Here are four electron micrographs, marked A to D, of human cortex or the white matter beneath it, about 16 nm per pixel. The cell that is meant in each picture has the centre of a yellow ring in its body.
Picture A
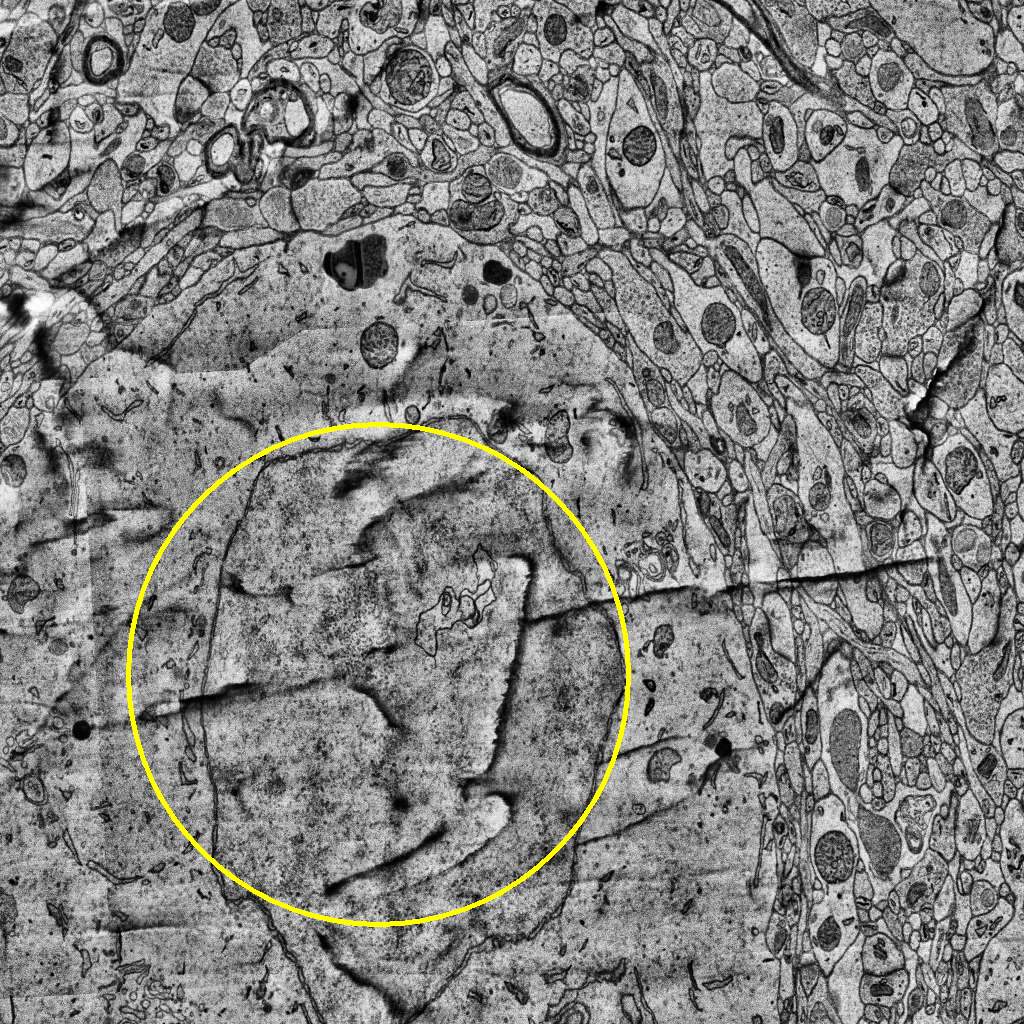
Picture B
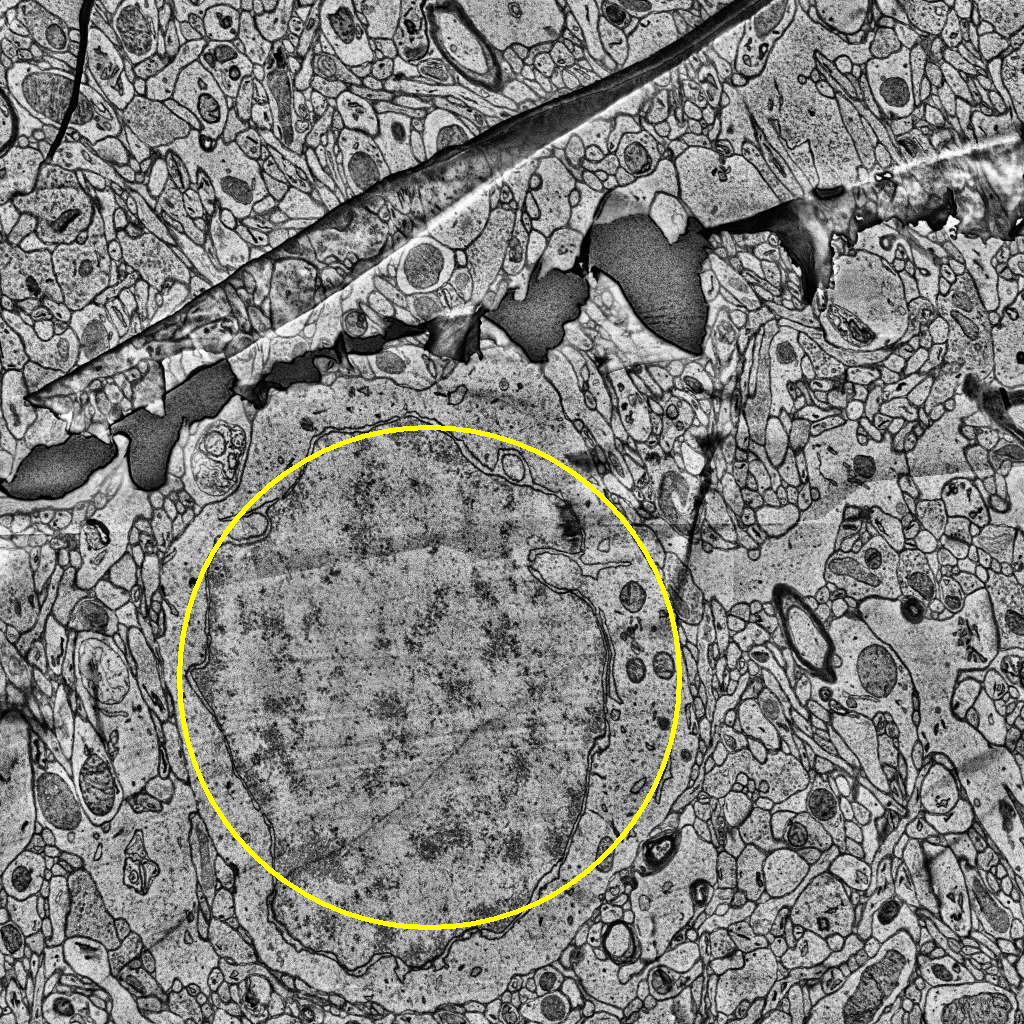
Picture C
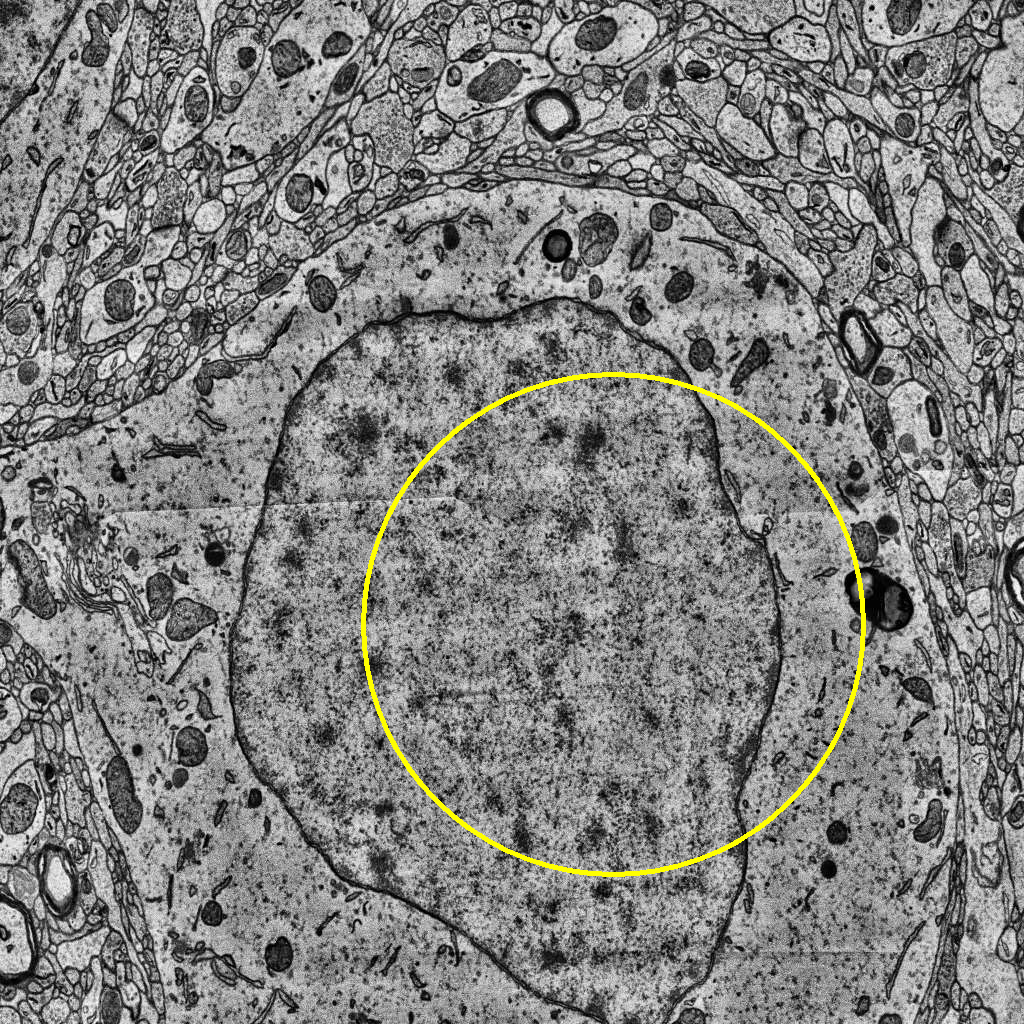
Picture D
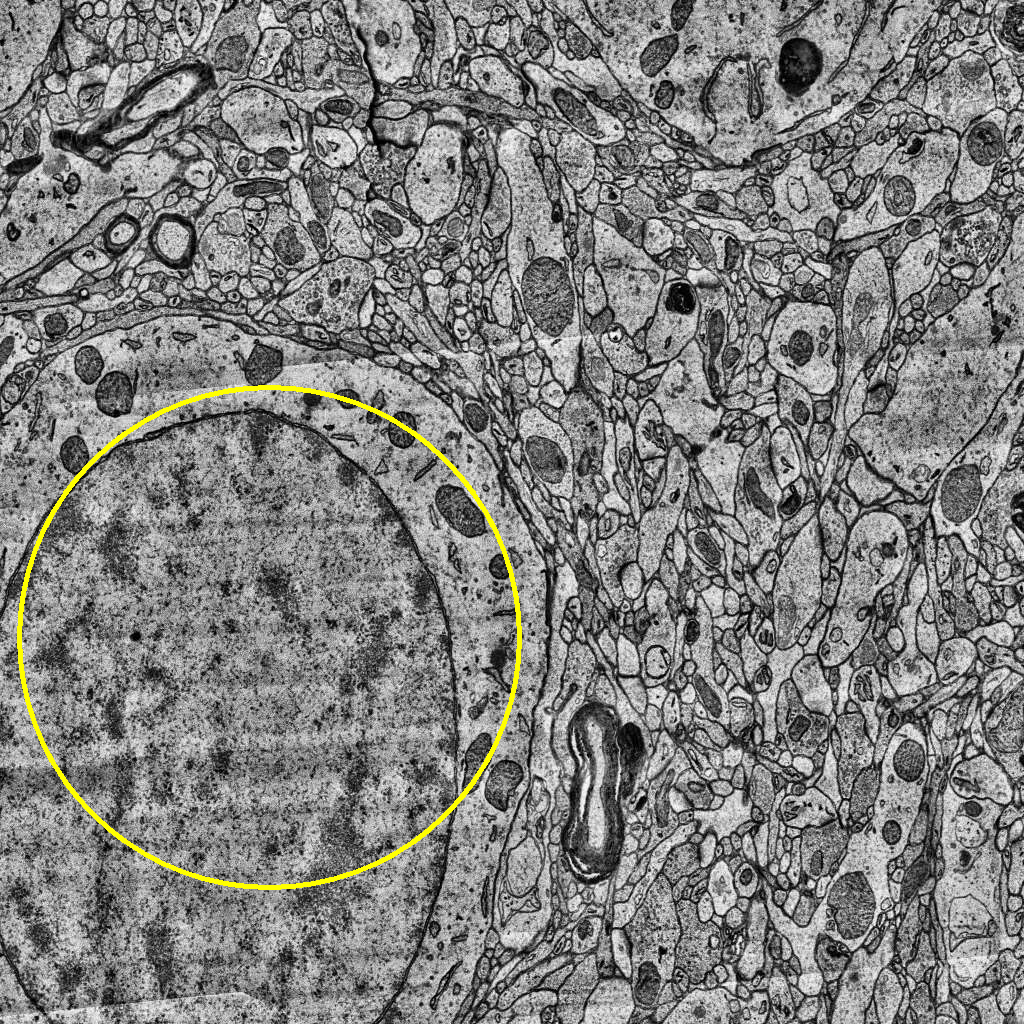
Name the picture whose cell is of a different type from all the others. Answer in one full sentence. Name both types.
Unlike the rest, which show pyramidal neurons, picture B shows an interneuron.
